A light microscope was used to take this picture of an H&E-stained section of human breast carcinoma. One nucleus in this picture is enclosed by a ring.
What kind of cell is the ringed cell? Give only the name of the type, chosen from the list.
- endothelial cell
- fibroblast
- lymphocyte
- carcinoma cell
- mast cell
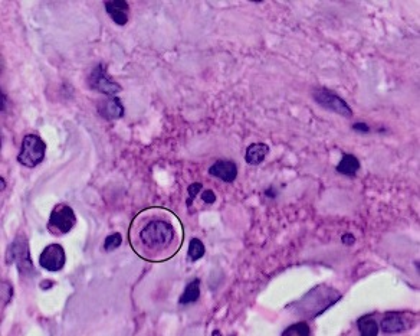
mast cell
